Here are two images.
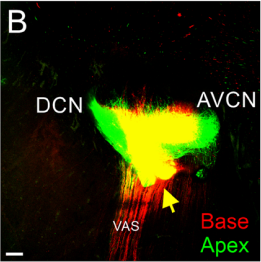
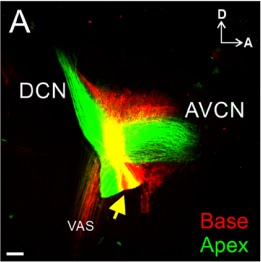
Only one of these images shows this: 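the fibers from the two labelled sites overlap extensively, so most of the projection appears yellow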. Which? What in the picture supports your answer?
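The first image. First image: most of the fiber field is yellow where red and green coincide. Second image: red and green fibers stay largely apart, with yellow mainly near the entry bundle.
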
